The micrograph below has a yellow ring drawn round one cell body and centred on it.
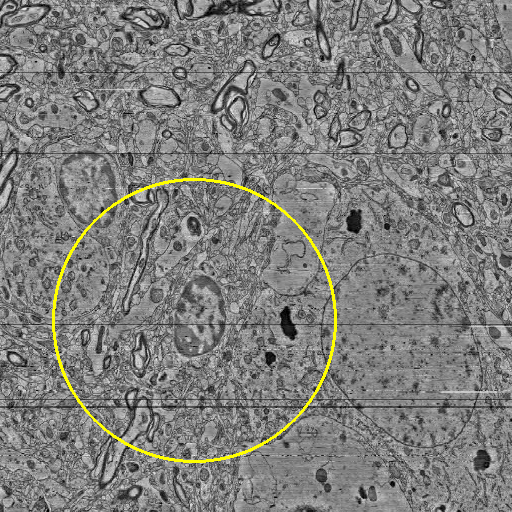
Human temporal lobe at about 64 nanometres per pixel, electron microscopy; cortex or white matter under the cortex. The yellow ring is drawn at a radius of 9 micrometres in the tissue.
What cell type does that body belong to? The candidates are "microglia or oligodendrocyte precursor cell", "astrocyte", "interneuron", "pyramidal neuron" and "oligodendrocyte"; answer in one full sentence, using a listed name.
This is a microglial cell or oligodendrocyte precursor cell, the cell whose body lies at the centre of the ring.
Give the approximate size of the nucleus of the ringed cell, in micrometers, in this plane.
Roughly 5 by 3 micrometres is the size of the nucleus in this plane.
